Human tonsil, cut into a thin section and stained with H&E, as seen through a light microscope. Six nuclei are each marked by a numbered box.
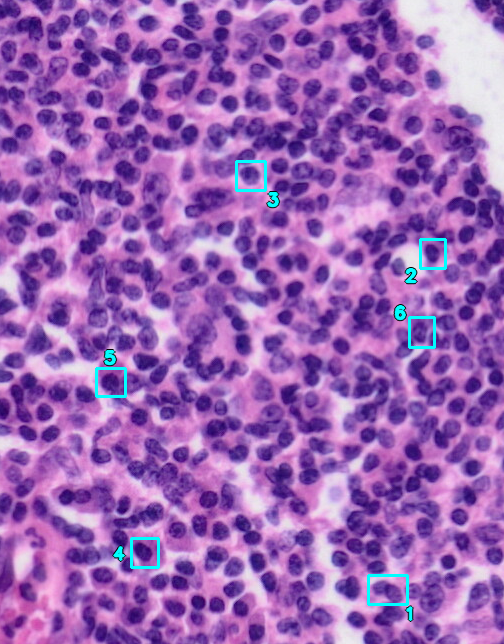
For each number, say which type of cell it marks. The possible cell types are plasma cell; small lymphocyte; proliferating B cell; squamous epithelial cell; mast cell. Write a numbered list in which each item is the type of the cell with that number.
1. small lymphocyte
2. small lymphocyte
3. small lymphocyte
4. plasma cell
5. plasma cell
6. small lymphocyte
